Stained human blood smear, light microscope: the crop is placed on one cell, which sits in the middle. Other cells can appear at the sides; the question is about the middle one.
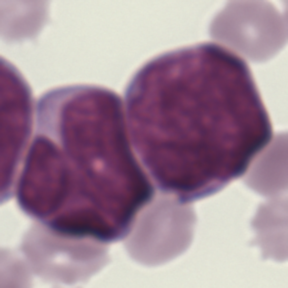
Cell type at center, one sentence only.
The cell at the middle of the crop is recognized as a blast.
